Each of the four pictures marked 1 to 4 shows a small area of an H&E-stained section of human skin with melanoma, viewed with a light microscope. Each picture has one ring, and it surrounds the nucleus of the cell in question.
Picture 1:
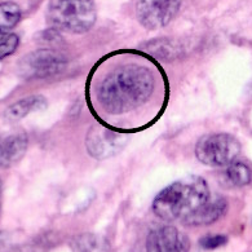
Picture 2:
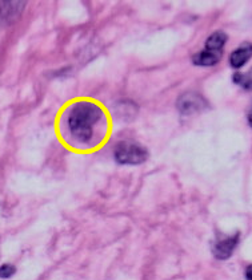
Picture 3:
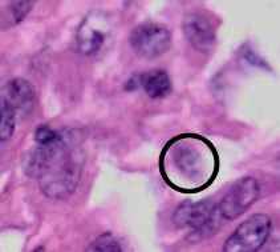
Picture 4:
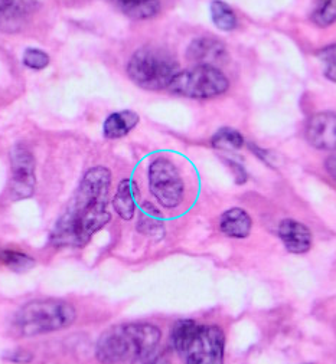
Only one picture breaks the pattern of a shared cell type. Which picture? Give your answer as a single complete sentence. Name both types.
The different one is picture 2; it shows a “macrophage or monocyte”, whereas all the others show melanoma cells.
